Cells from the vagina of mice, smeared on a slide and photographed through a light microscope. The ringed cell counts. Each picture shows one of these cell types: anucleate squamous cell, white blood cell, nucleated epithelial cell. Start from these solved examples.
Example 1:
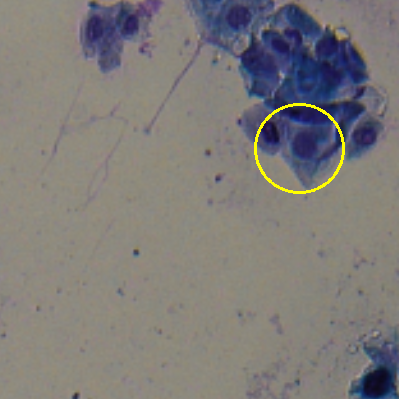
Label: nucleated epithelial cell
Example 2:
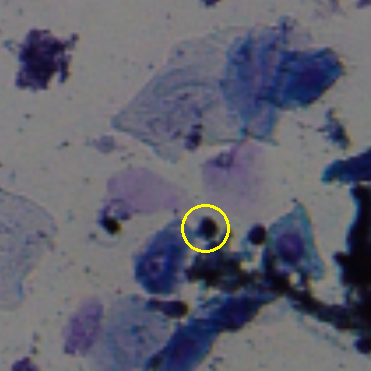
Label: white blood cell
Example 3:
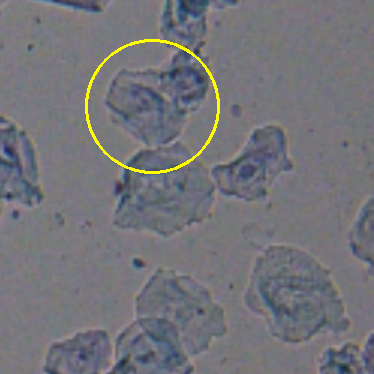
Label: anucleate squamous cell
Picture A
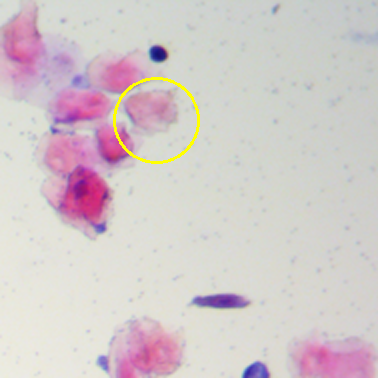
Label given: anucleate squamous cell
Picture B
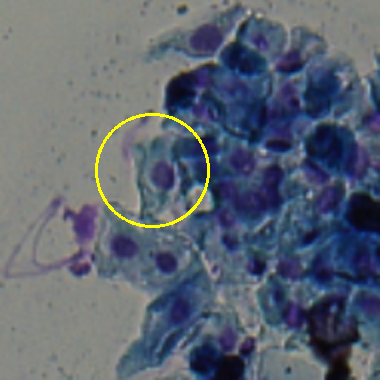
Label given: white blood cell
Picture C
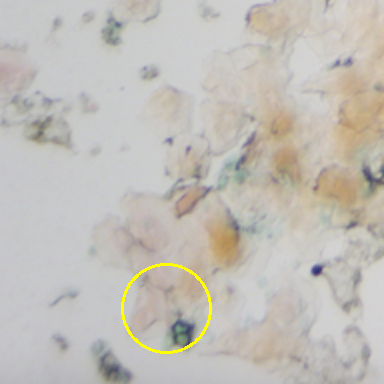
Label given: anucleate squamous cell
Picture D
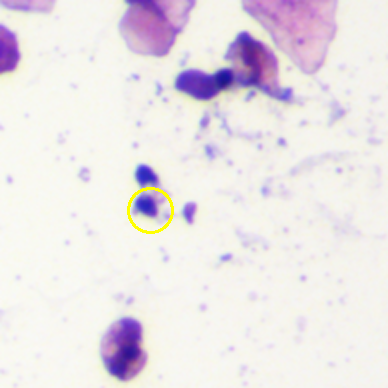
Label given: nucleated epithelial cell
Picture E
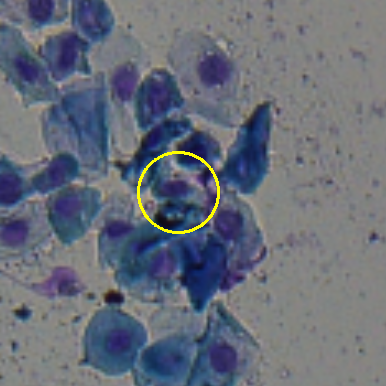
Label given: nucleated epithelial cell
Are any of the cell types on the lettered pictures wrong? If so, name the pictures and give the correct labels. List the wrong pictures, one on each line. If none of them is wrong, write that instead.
Wrong: B (white blood cell); correct: nucleated epithelial cell
Wrong: D (nucleated epithelial cell); correct: white blood cell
